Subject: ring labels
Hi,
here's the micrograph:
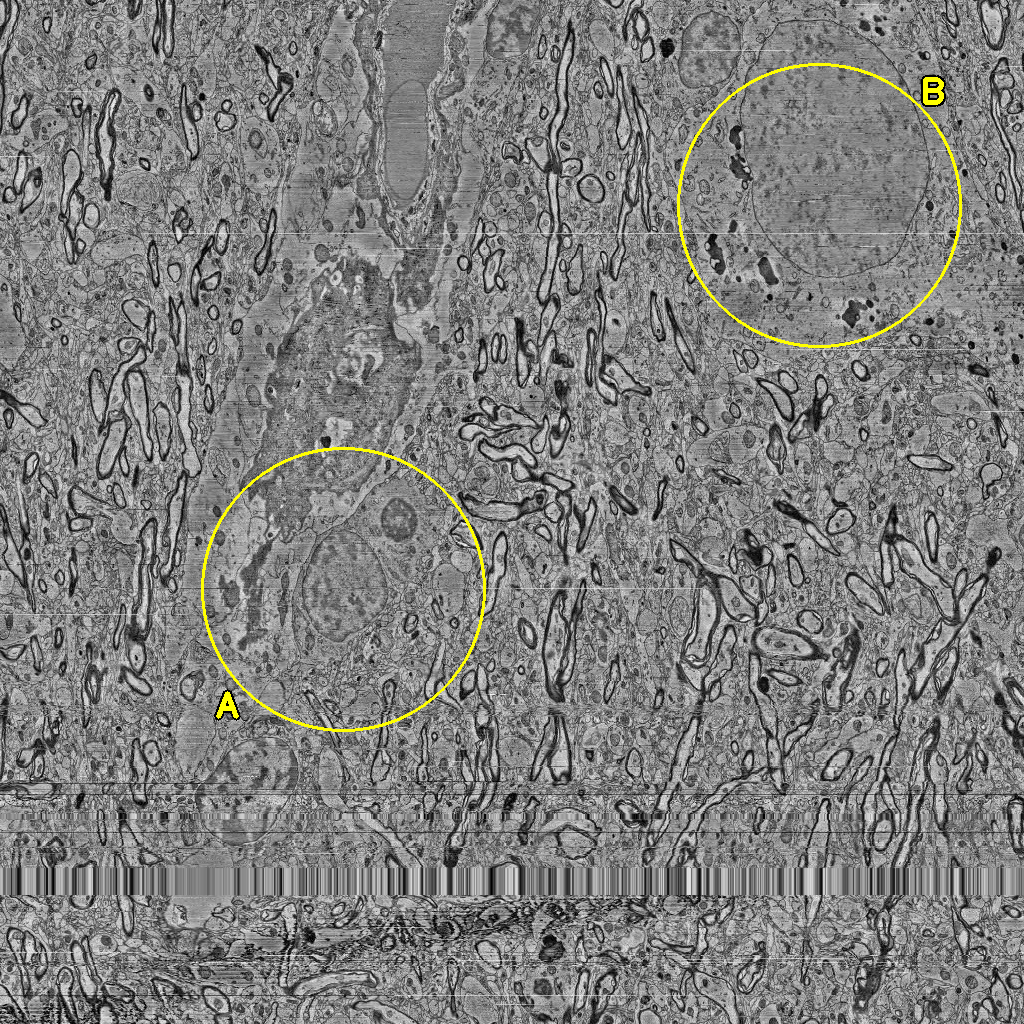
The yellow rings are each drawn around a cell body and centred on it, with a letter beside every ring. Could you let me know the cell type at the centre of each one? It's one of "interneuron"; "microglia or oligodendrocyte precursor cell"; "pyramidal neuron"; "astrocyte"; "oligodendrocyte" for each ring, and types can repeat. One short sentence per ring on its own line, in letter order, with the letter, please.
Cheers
The type at the centre of ring A is an oligodendrocyte.
The type at the centre of ring B is a pyramidal neuron.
